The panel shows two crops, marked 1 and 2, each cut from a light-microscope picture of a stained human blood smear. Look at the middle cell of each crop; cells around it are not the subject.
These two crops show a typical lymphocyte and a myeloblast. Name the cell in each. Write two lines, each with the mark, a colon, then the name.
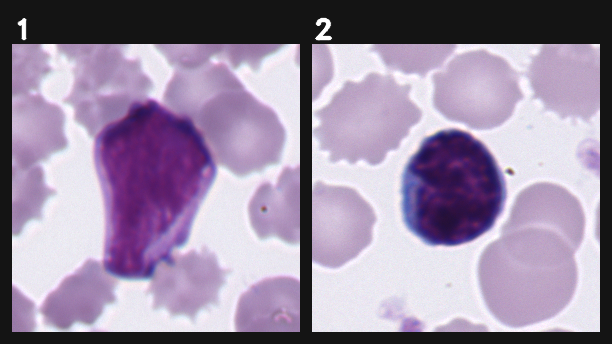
1: myeloblast
2: typical lymphocyte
